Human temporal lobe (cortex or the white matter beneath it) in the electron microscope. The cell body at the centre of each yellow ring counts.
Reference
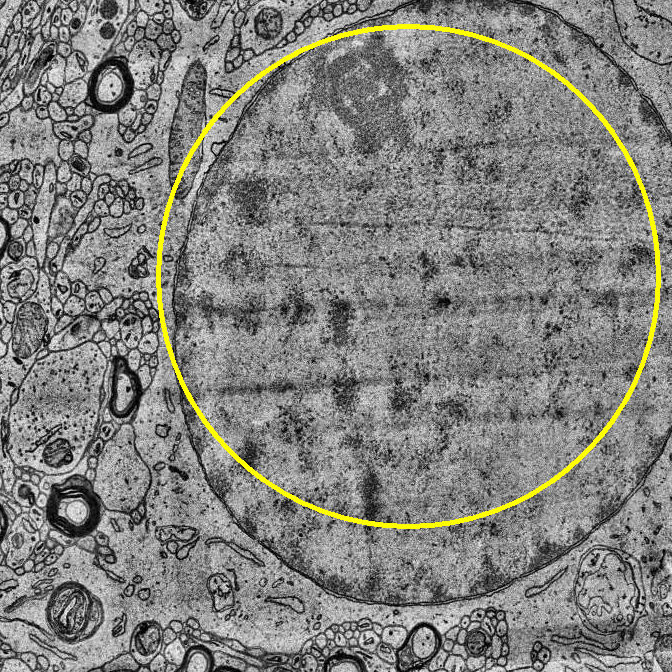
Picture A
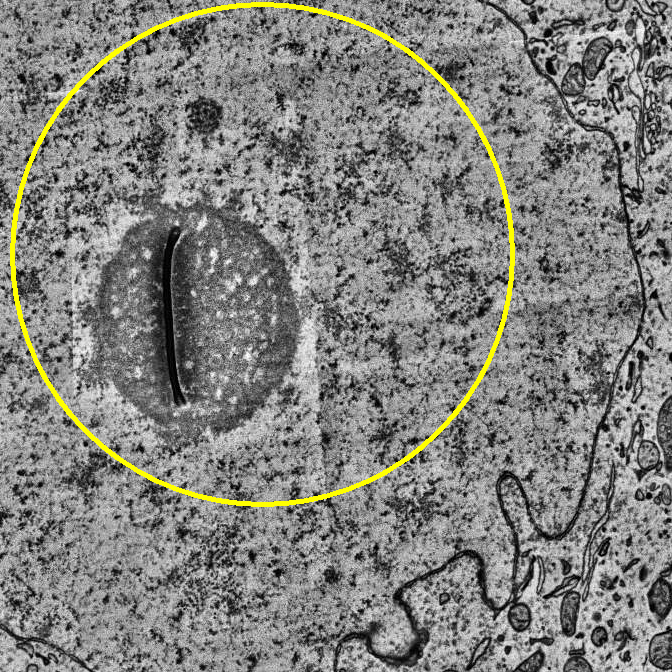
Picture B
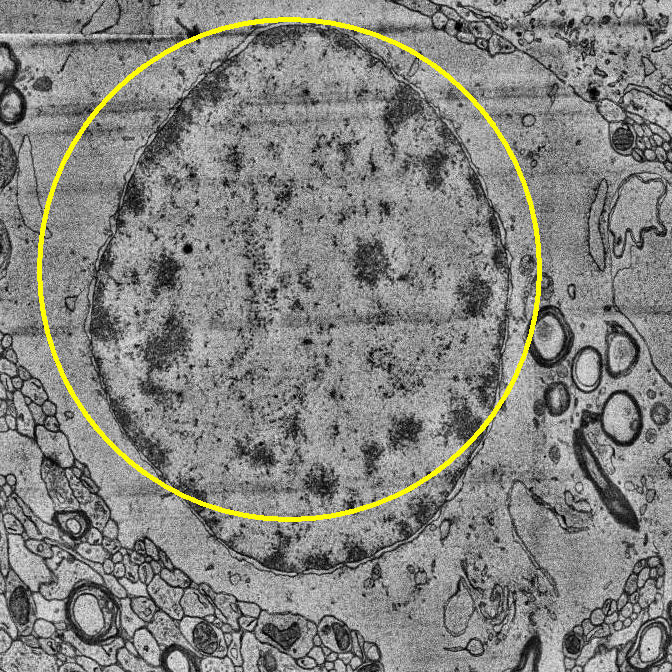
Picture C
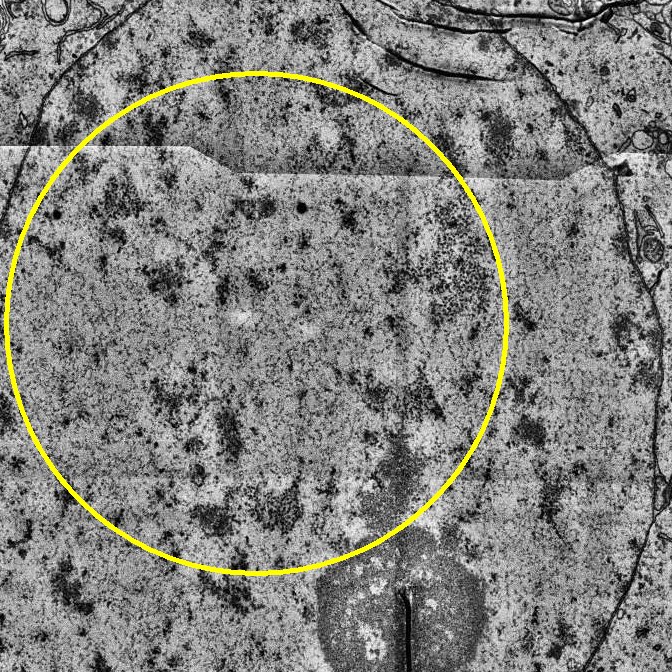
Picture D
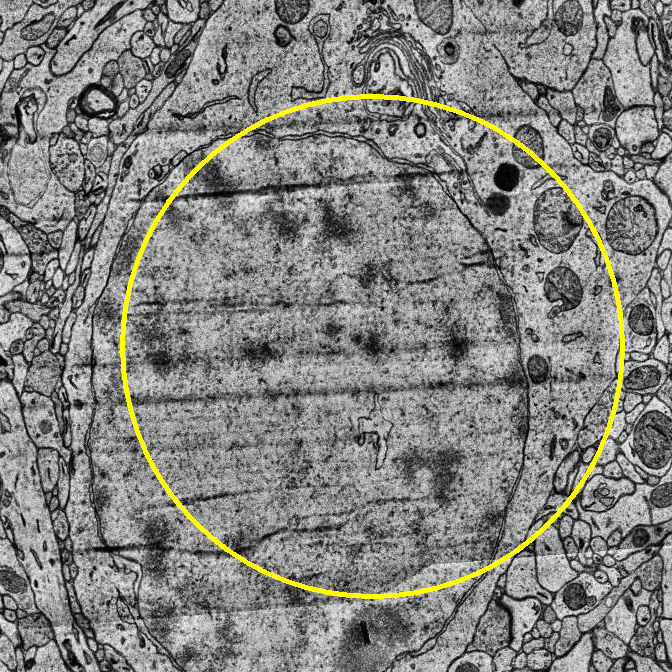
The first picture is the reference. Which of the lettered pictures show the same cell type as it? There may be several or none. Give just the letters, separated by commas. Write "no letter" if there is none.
B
